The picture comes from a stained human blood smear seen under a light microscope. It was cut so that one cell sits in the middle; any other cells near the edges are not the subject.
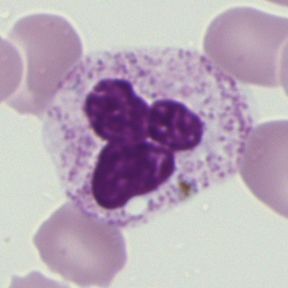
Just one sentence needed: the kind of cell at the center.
The cell in the middle of this crop is a segmented neutrophil.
